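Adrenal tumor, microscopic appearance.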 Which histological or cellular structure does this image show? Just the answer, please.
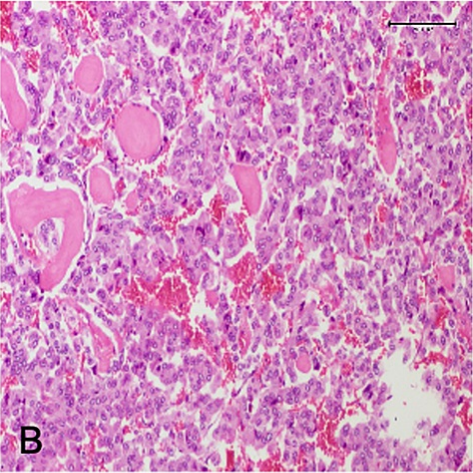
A: Rich vascular network.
